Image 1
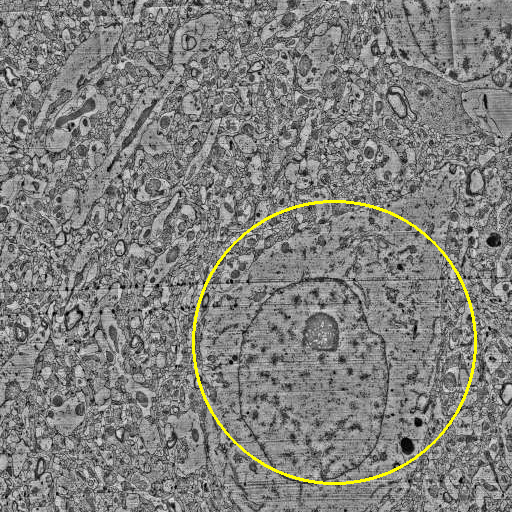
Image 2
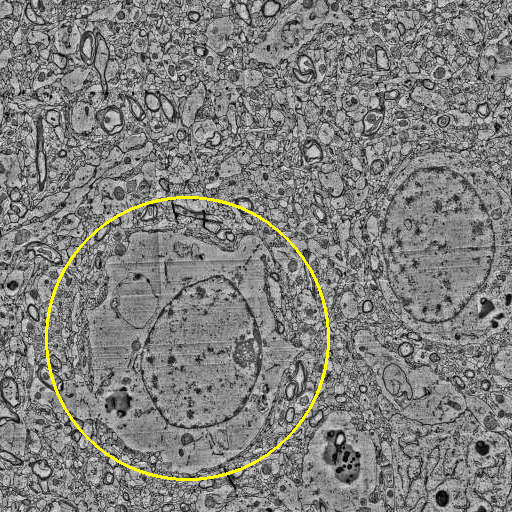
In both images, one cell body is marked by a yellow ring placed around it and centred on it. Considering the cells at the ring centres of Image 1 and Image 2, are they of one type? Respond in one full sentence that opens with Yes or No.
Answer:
No, two types apply to the ring-centred cells of Image 1 and Image 2.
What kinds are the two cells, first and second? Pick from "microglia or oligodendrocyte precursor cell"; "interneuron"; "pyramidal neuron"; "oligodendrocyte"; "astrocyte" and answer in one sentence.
The second picture holds an astrocyte in its ring, and the first holds a pyramidal neuron.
